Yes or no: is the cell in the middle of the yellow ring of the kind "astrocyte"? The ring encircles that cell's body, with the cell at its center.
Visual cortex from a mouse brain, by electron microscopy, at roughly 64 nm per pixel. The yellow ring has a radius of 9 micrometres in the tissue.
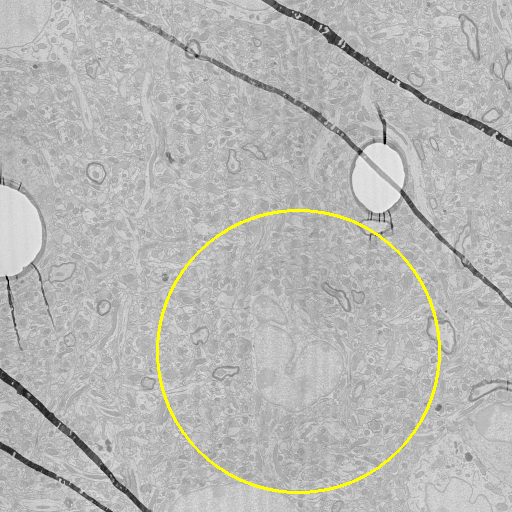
yes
